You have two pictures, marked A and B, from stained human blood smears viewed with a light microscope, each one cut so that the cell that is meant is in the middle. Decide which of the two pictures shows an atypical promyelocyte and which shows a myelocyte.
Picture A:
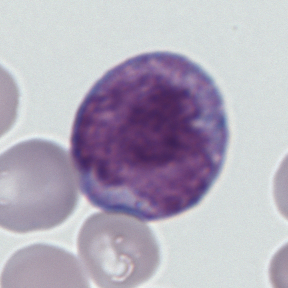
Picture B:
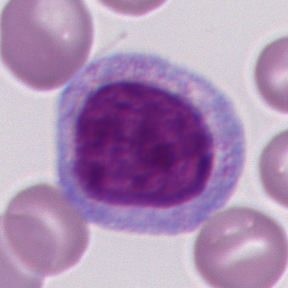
A: atypical promyelocyte
B: myelocyte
